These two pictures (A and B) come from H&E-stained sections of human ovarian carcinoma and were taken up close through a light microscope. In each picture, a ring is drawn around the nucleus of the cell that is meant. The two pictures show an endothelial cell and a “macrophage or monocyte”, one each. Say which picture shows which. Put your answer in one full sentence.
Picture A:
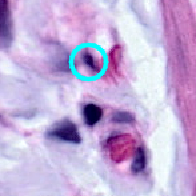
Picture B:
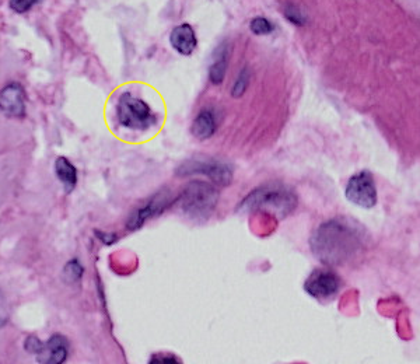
Picture B shows a “macrophage or monocyte”, while picture A shows an endothelial cell.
